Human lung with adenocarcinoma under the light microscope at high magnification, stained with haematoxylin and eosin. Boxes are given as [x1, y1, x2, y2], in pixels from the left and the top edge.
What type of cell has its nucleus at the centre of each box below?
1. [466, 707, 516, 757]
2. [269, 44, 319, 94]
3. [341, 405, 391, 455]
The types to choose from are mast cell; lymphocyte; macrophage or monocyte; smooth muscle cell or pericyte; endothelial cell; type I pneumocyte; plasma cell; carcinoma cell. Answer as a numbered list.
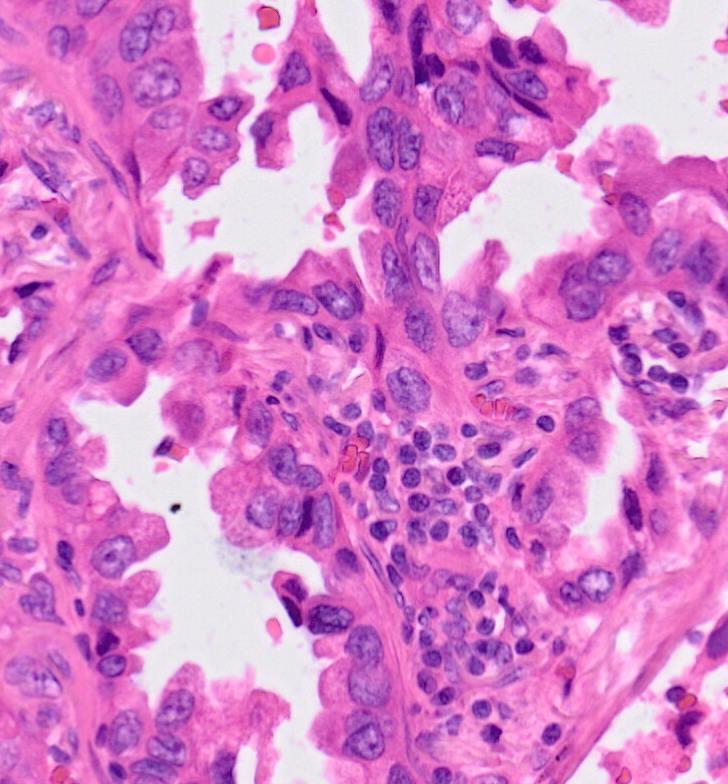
1. lymphocyte
2. carcinoma cell
3. lymphocyte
